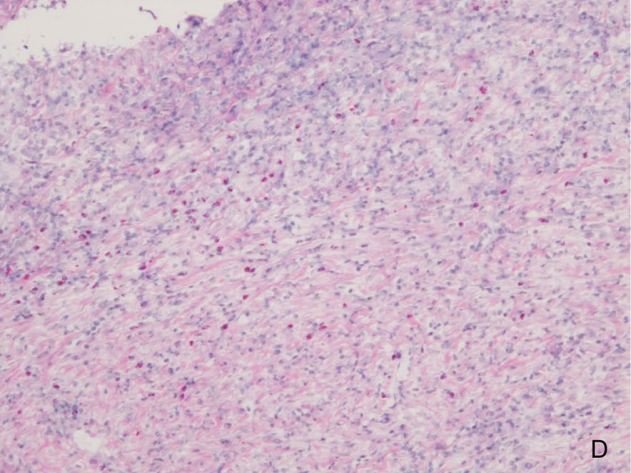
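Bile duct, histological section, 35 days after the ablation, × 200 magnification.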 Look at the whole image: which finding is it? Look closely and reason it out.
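Densely cellular loose tissue with many scattered small nuclei. Numerous small red-staining granular cells scattered among the cells. Pale pink wispy fibers running between the cells.
Granulation tissue.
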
